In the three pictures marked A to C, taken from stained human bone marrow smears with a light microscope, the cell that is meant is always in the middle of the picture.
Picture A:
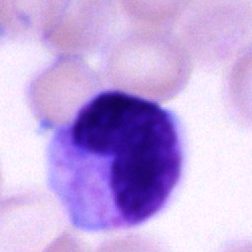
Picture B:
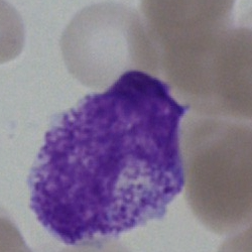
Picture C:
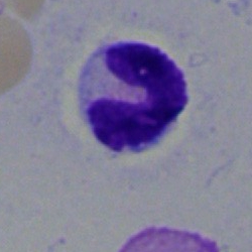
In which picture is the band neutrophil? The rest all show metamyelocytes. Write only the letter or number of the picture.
C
